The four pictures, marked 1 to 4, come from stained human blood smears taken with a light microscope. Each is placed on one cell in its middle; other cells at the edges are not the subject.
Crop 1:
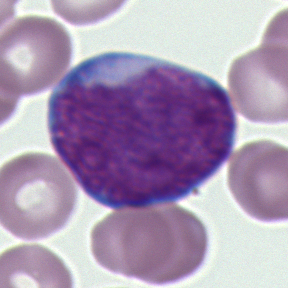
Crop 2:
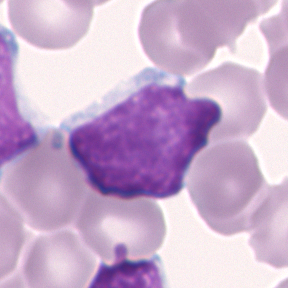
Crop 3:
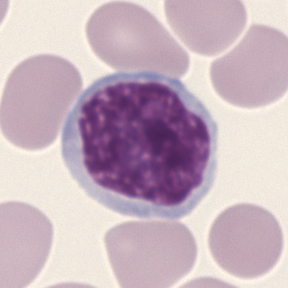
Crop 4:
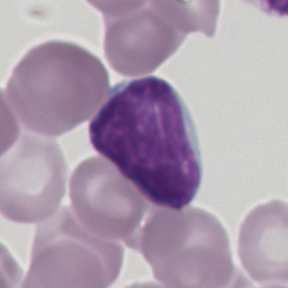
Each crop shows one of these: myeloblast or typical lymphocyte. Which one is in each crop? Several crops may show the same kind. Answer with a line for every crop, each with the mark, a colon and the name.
1: myeloblast
2: typical lymphocyte
3: typical lymphocyte
4: myeloblast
